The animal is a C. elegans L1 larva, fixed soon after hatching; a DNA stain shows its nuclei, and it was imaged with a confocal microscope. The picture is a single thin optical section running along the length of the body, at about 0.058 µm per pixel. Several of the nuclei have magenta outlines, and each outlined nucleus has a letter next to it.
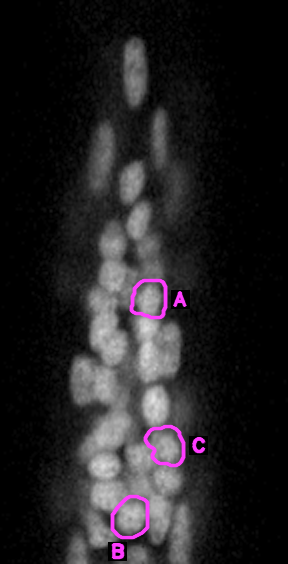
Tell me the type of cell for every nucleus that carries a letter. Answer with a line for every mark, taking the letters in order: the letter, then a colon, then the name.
A: hypodermal cell (hyp)
B: neuron
C: neuron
